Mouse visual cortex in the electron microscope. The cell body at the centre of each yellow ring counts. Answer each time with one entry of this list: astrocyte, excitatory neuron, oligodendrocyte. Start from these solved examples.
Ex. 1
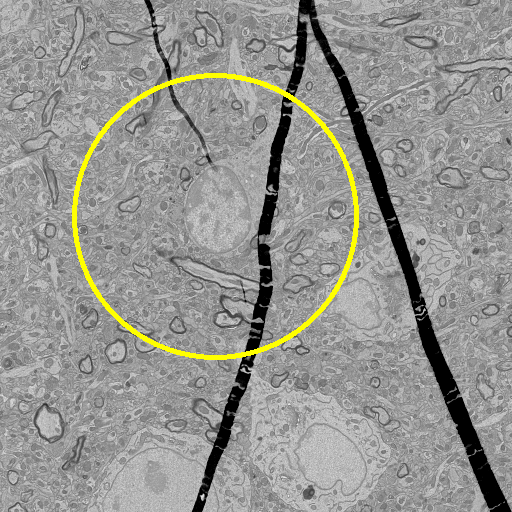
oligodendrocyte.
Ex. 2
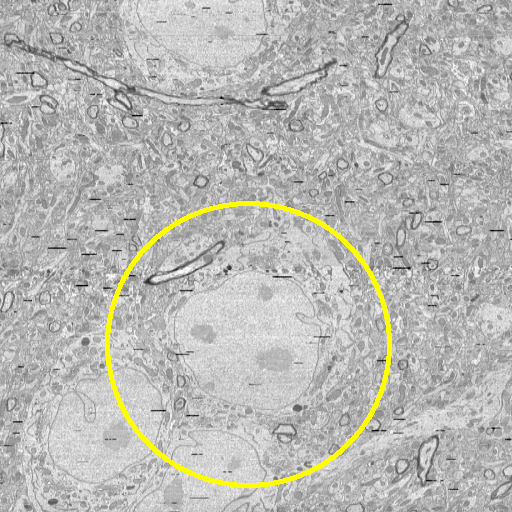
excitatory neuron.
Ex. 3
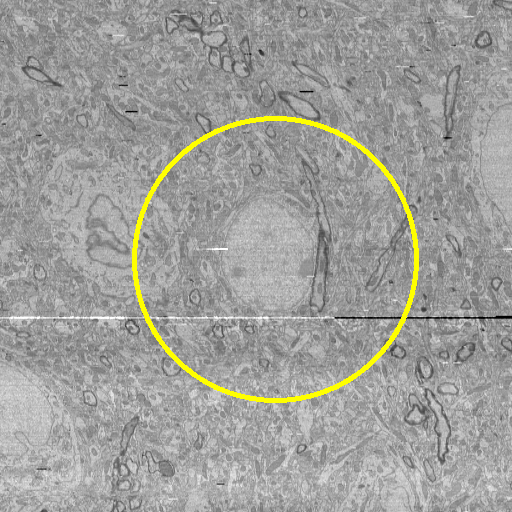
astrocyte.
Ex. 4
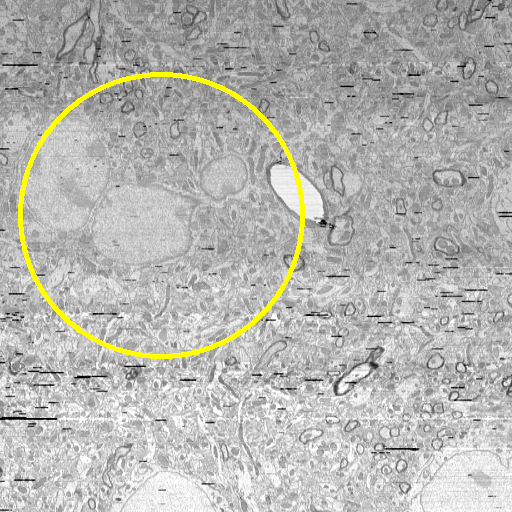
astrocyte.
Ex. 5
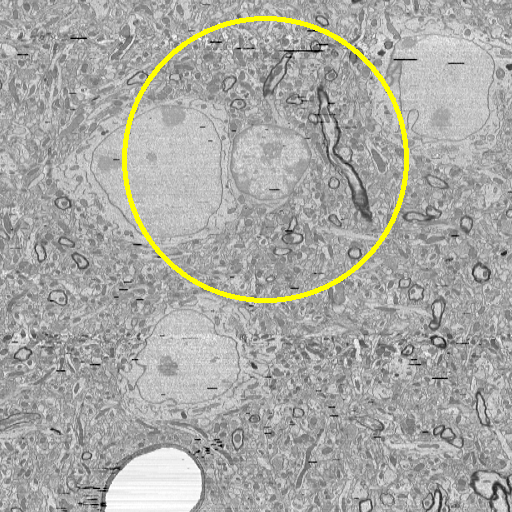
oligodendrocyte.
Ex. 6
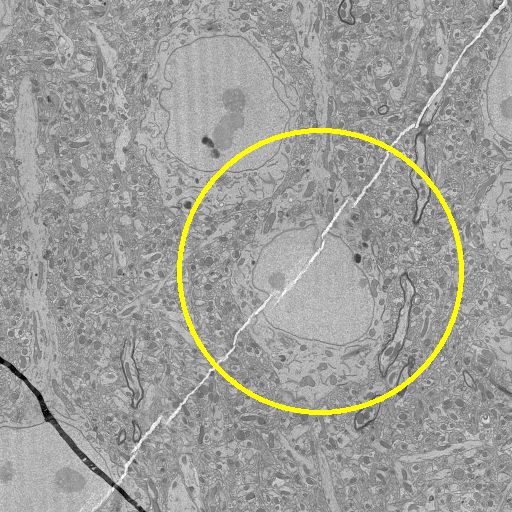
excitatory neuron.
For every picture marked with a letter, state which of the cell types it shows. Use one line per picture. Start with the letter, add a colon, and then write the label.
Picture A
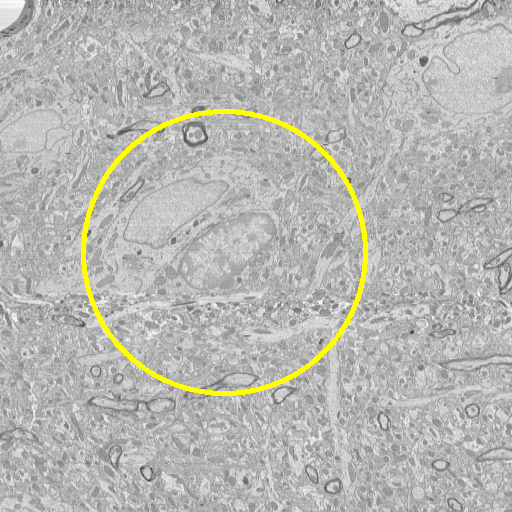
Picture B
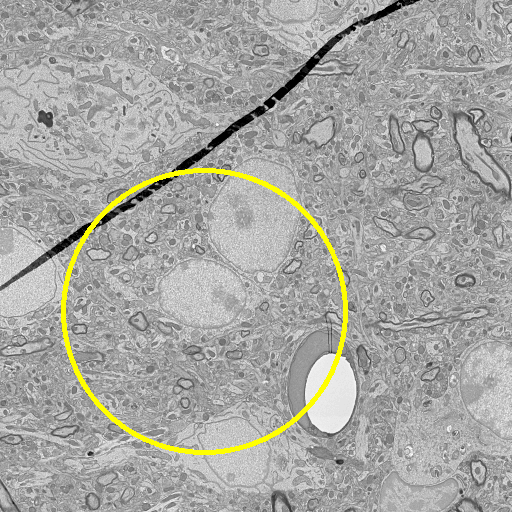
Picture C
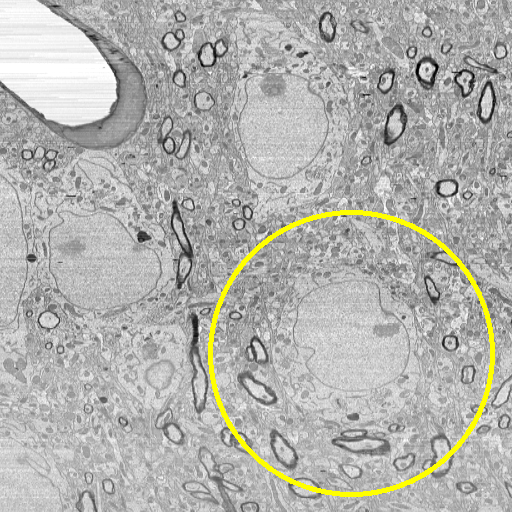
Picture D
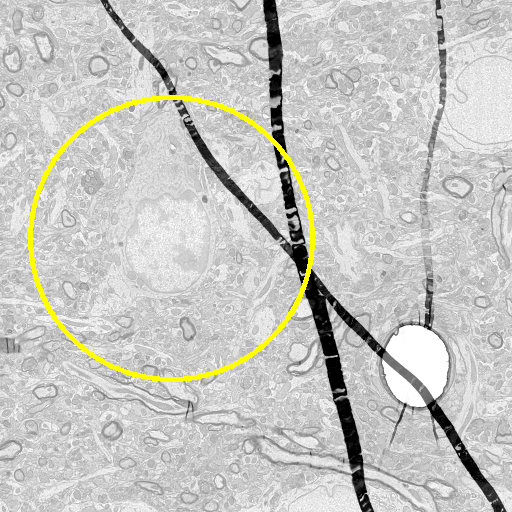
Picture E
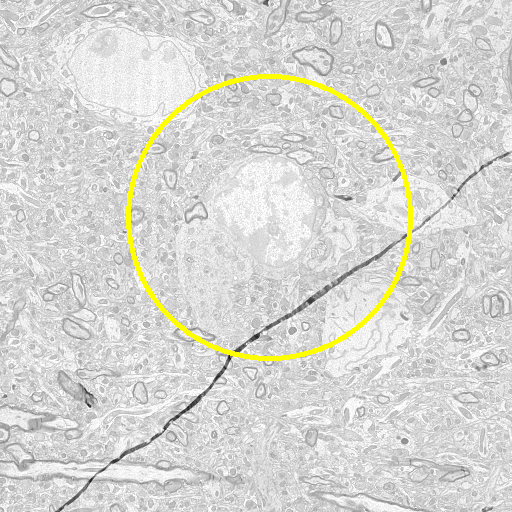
A: oligodendrocyte.
B: astrocyte.
C: excitatory neuron.
D: oligodendrocyte.
E: oligodendrocyte.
